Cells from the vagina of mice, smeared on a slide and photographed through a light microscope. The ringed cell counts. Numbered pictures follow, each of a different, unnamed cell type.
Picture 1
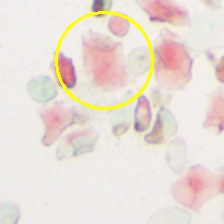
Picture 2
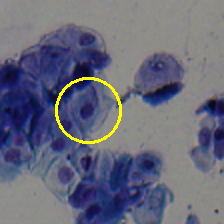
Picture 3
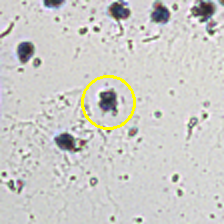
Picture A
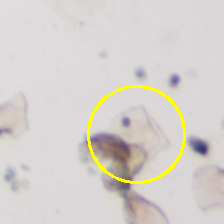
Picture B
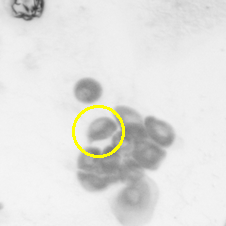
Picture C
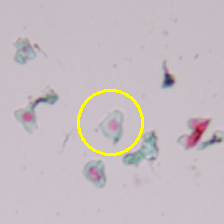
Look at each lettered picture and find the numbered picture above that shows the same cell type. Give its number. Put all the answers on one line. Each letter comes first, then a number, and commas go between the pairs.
A 1, B 2, C 2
